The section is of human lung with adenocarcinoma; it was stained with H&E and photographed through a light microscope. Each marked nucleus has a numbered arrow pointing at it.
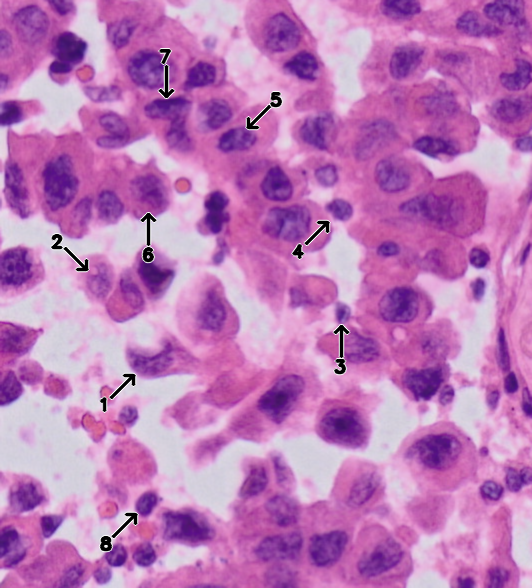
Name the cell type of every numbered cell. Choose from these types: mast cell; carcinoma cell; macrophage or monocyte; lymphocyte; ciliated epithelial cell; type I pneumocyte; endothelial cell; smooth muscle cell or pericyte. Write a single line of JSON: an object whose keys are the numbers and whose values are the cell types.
{"1": "carcinoma cell", "2": "carcinoma cell", "3": "lymphocyte", "4": "lymphocyte", "5": "carcinoma cell", "6": "carcinoma cell", "7": "carcinoma cell", "8": "lymphocyte"}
